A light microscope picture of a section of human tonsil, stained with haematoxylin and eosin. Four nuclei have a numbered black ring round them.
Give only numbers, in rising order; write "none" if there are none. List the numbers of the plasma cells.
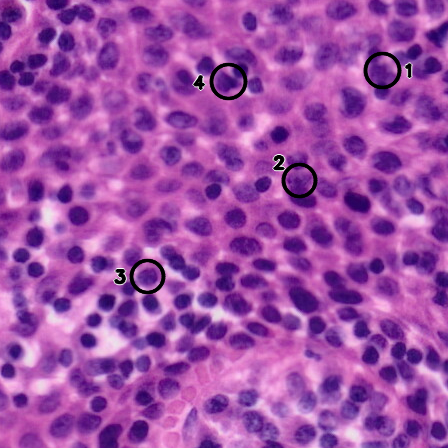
3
